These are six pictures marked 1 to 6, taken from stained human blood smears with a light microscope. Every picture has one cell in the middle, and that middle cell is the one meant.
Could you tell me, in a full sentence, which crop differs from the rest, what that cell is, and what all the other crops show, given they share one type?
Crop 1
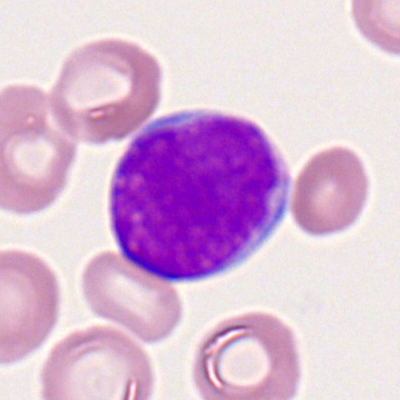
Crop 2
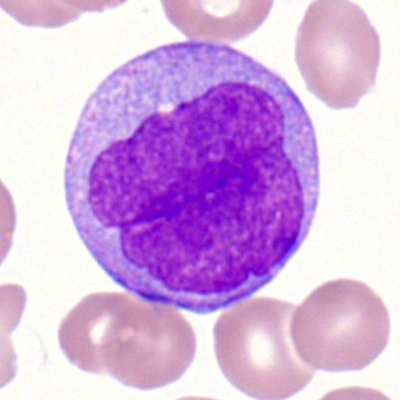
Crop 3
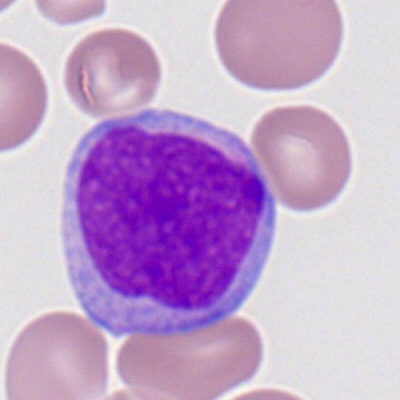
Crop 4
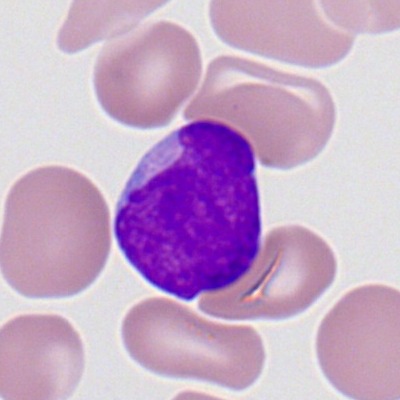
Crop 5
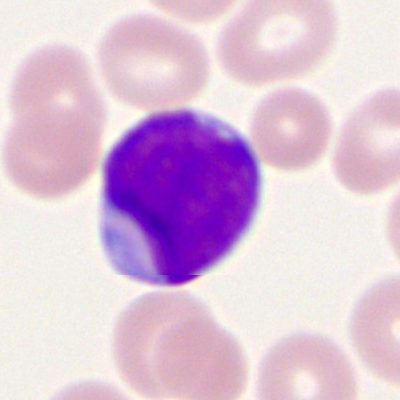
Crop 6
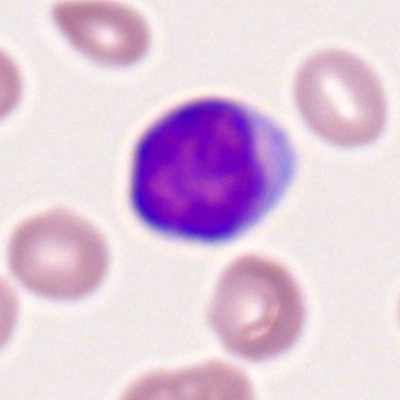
The others are all blasts; crop 6 is a lymphocyte.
